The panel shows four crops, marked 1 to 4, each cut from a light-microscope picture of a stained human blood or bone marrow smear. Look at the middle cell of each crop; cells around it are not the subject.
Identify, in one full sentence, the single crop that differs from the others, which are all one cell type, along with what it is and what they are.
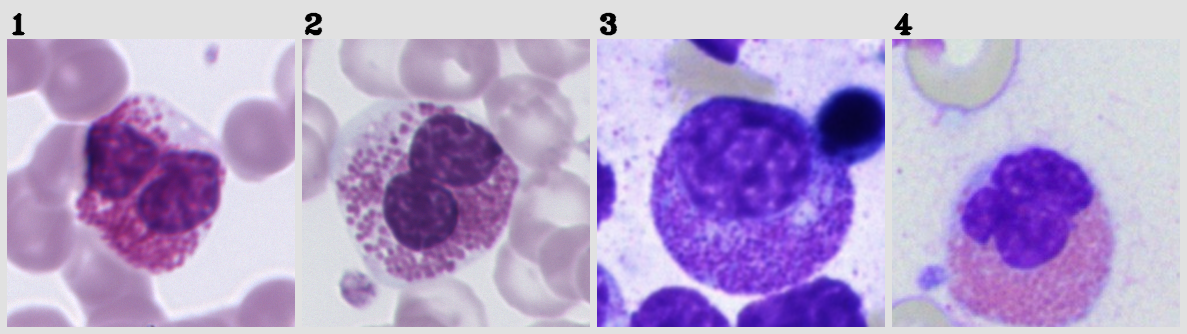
Unlike the other crops, all showing eosinophils, crop 3 is a myelocyte.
